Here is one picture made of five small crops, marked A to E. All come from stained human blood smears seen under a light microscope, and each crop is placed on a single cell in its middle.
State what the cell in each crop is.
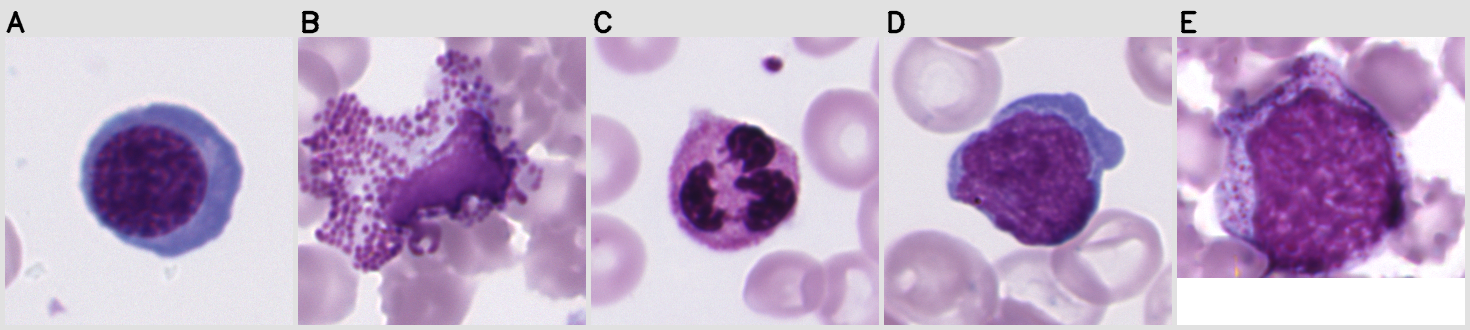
A: normoblast
B: eosinophil
C: segmented neutrophil
D: myeloblast
E: promyelocyte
